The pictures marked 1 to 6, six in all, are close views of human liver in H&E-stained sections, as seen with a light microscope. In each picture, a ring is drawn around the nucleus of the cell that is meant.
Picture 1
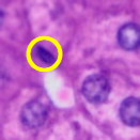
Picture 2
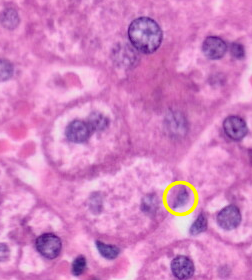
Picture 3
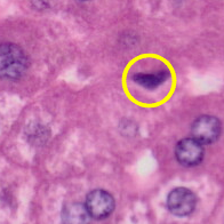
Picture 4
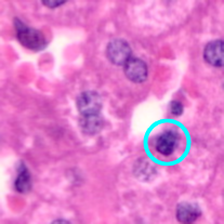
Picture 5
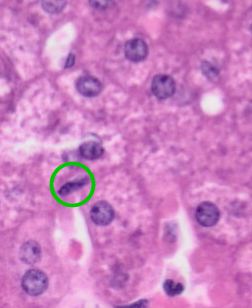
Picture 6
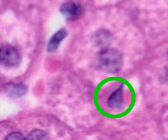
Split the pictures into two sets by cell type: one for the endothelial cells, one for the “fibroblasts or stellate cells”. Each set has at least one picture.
1: fibroblast or stellate cell
2: endothelial cell
3: fibroblast or stellate cell
4: fibroblast or stellate cell
5: fibroblast or stellate cell
6: endothelial cell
